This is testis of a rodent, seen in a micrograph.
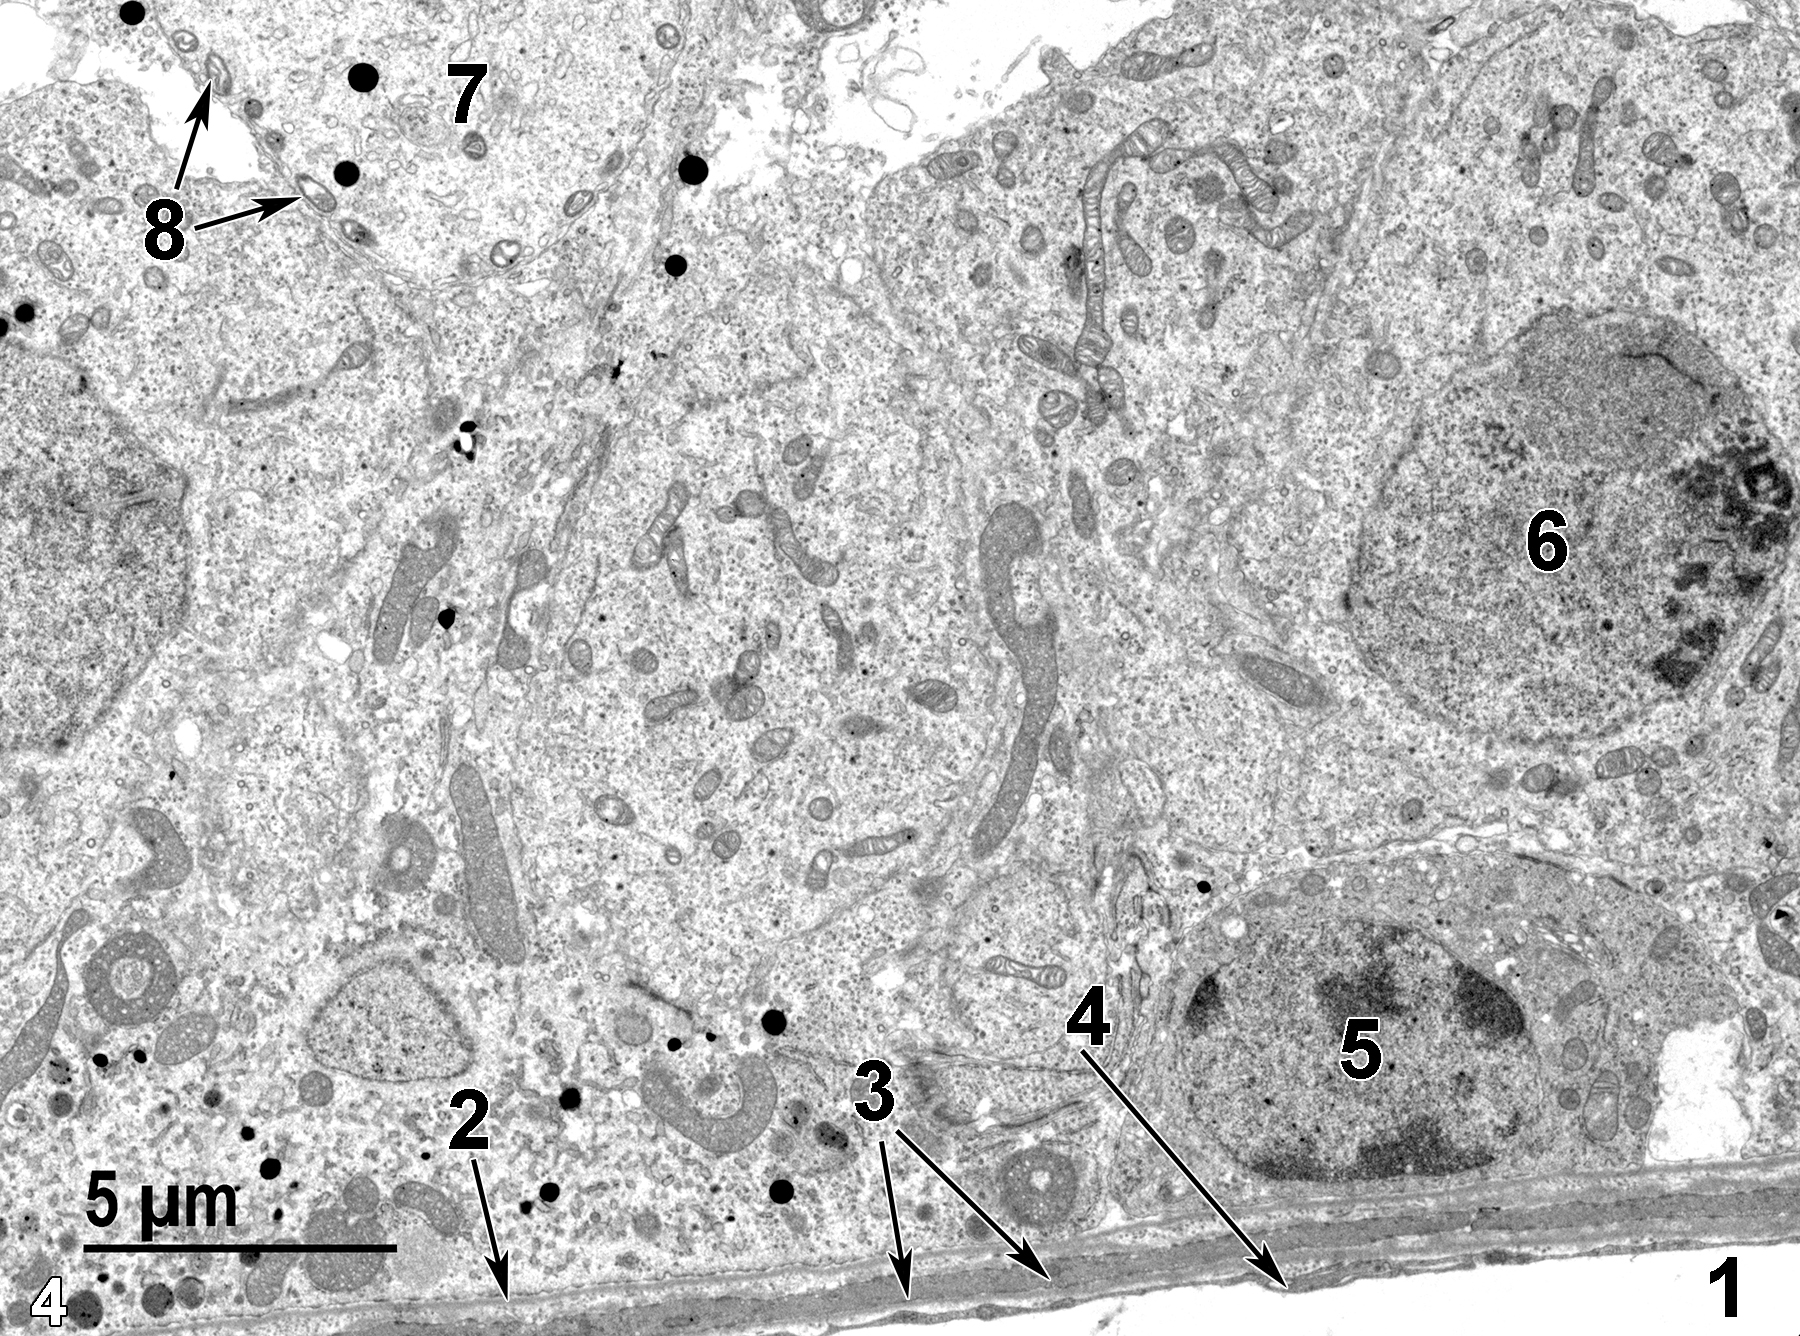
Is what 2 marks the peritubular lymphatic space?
No: the basal lamina.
